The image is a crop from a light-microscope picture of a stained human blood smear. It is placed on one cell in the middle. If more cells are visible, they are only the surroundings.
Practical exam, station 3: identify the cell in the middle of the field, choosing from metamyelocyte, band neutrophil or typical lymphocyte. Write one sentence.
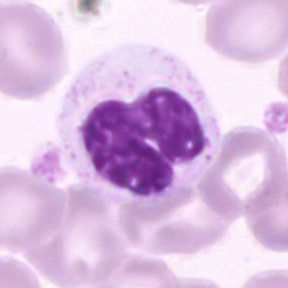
The middle cell in this particular crop is a band neutrophil.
